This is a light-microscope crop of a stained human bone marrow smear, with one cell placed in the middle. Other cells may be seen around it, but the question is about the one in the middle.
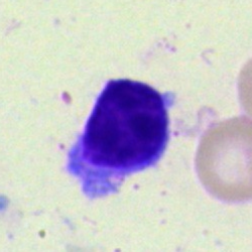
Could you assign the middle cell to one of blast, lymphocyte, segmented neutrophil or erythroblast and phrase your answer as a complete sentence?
The crop shows a lymphocyte in its centre.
